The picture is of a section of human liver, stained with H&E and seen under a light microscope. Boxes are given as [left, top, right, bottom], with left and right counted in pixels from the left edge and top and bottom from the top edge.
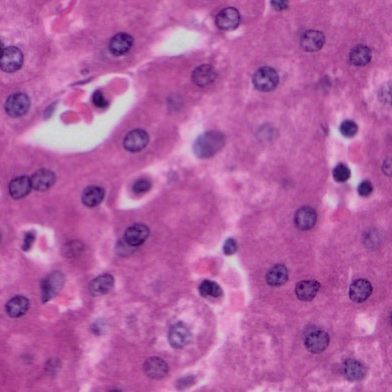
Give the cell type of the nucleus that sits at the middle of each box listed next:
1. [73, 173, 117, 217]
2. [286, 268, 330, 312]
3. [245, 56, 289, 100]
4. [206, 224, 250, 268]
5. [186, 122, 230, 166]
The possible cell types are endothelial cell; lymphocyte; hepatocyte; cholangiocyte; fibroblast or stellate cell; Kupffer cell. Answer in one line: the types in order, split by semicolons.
hepatocyte; hepatocyte; hepatocyte; lymphocyte; endothelial cell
